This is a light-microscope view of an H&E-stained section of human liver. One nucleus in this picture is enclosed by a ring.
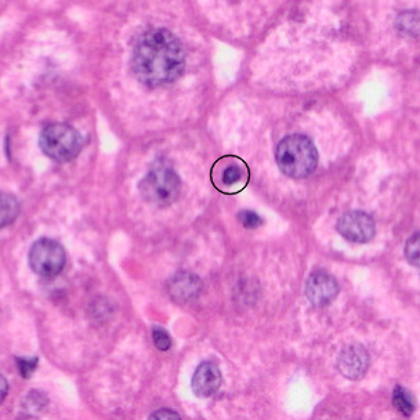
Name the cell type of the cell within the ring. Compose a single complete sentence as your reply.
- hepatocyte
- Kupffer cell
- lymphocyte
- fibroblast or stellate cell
In this section, the cell within the ring is a fibroblast or stellate cell.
